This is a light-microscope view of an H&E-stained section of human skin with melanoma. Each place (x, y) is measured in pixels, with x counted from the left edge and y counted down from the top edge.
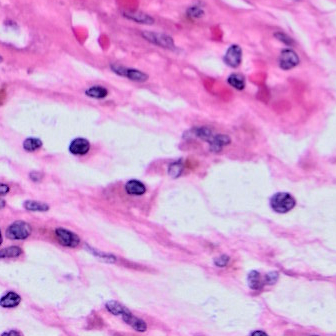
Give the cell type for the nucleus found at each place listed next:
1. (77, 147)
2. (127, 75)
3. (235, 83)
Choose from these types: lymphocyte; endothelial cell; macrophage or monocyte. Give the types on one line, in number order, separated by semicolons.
lymphocyte; macrophage or monocyte; lymphocyte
